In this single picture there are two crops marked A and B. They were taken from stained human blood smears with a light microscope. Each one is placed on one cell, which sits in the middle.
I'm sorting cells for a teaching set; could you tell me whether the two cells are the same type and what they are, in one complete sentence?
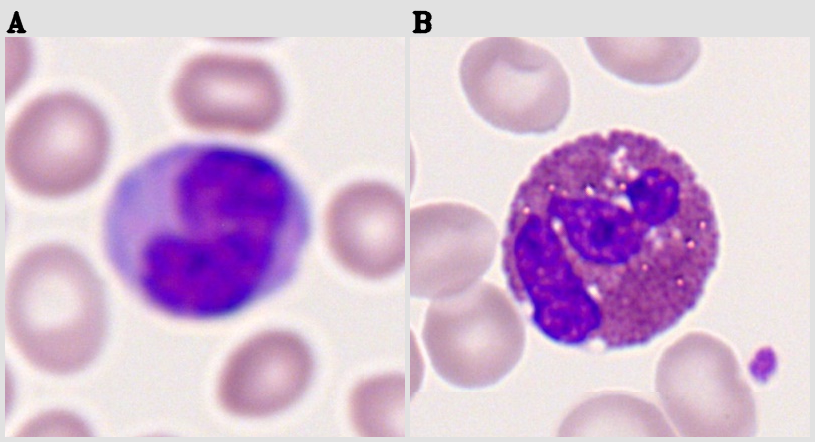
No, in fact crop A shows a monocyte, and crop B shows an eosinophil.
